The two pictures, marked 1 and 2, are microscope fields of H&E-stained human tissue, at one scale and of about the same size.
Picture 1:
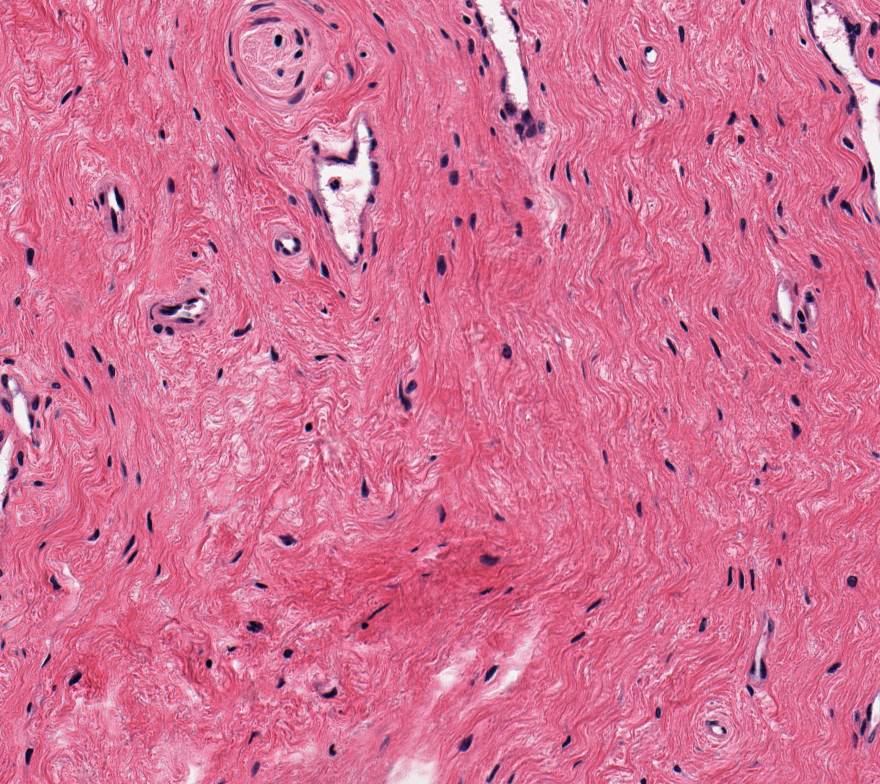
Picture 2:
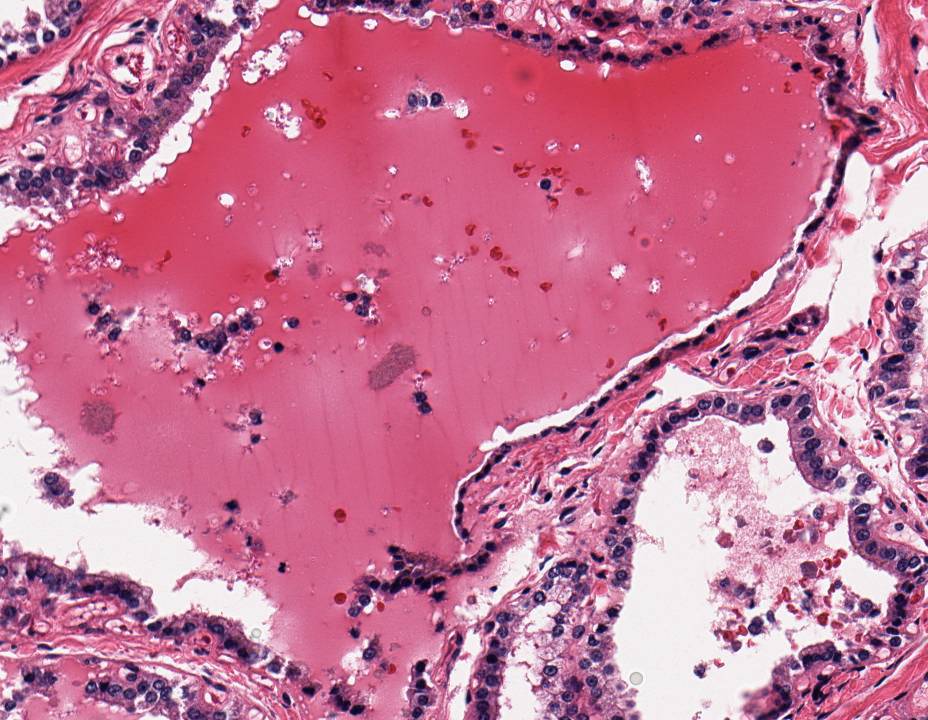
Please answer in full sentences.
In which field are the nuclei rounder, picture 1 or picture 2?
The nuclei are rounder in picture 2.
